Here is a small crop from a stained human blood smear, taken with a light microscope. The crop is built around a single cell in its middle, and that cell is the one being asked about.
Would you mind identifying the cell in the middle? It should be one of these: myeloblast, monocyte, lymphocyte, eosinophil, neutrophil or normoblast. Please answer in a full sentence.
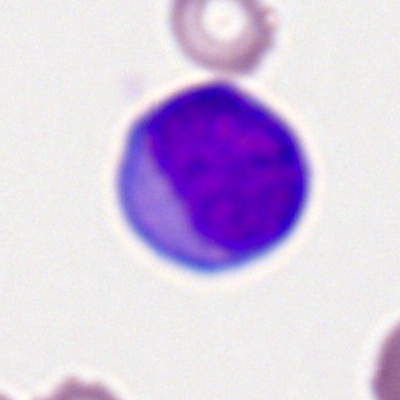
Standing at the centre of this crop is a myeloblast.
